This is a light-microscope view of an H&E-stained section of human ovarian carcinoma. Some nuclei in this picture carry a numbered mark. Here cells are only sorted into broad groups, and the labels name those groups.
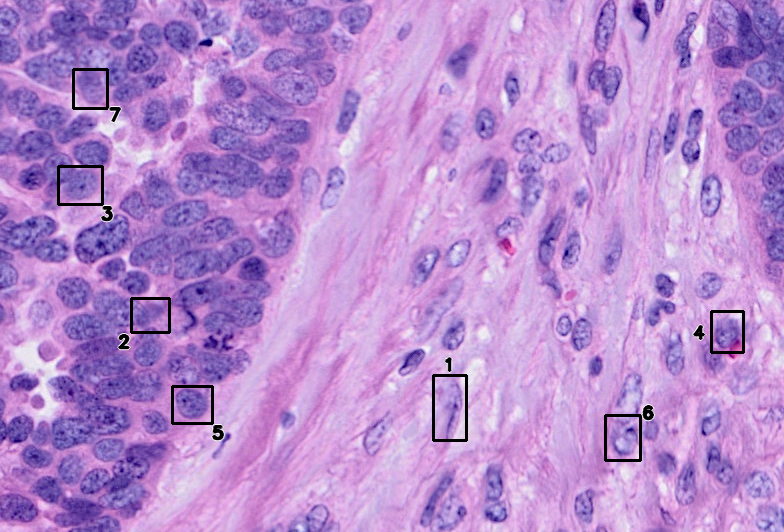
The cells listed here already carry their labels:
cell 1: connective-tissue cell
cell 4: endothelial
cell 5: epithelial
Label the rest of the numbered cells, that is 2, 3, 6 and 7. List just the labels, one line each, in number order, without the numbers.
epithelial
epithelial
connective-tissue cell
epithelial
